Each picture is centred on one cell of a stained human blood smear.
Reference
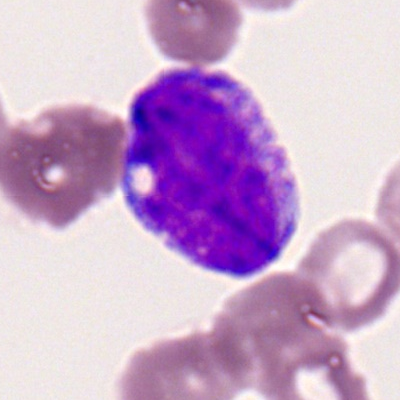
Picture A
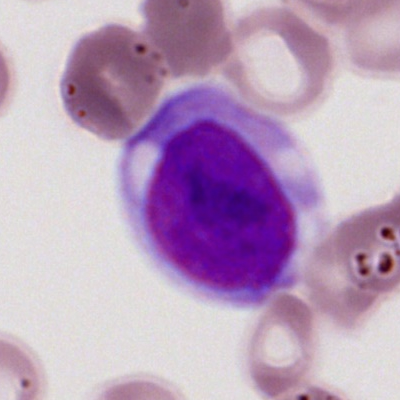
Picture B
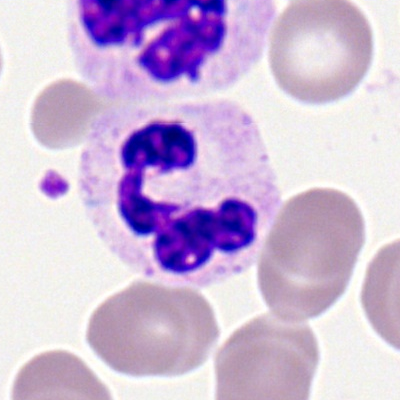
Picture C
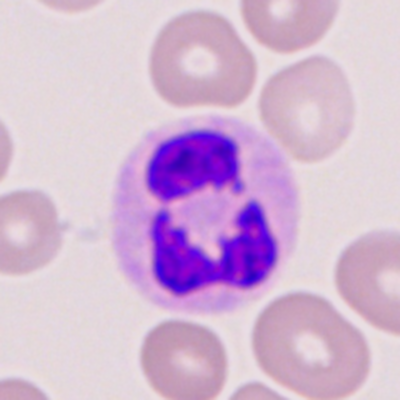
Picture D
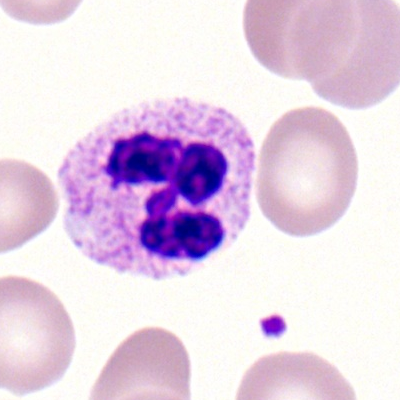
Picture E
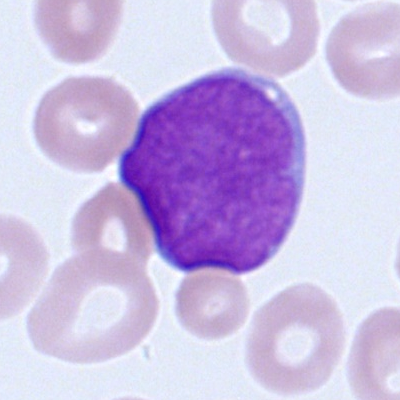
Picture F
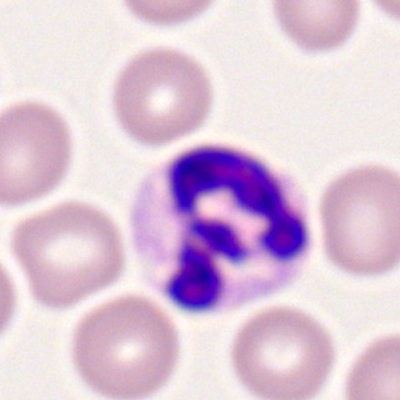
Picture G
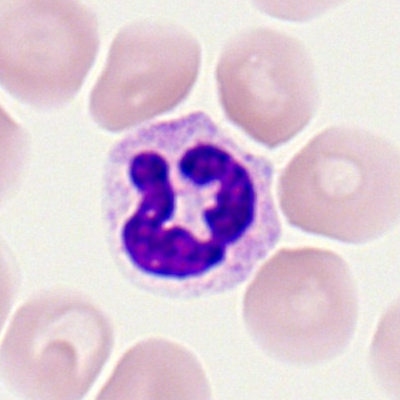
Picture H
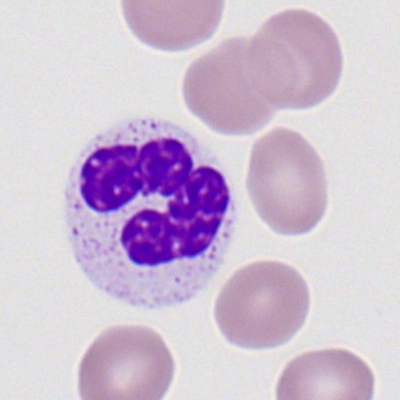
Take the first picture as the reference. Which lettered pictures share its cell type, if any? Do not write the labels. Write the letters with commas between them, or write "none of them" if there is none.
A, E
